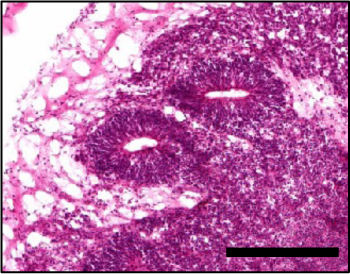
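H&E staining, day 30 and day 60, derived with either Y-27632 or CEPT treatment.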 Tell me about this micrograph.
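A section of a brain organoid stained pink and purple shows densely packed, dark purple nuclei arranged radially around small central lumens, forming rosette-like structures. Around these the tissue is more loosely arranged with scattered nuclei, and at one side lies a pale pink, loose mesh-like border.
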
